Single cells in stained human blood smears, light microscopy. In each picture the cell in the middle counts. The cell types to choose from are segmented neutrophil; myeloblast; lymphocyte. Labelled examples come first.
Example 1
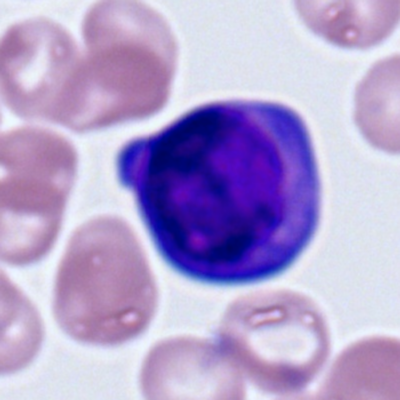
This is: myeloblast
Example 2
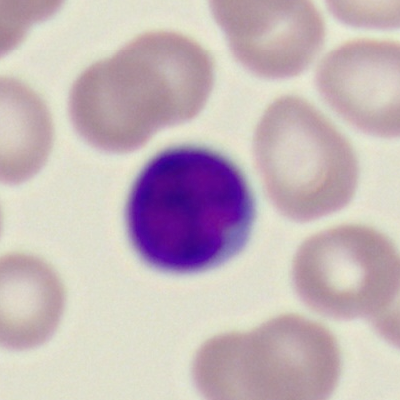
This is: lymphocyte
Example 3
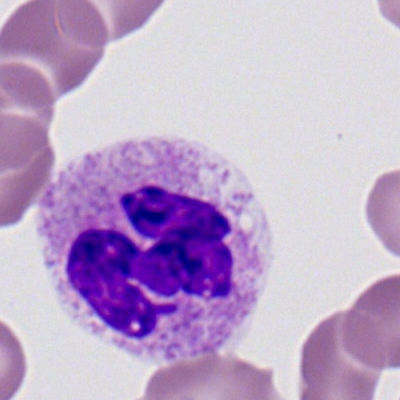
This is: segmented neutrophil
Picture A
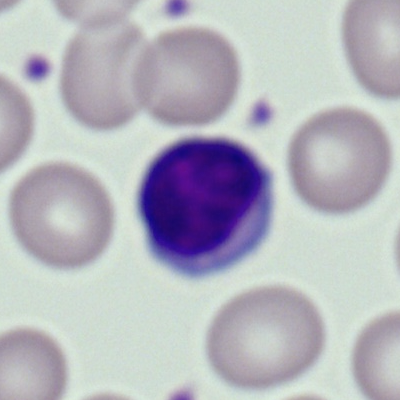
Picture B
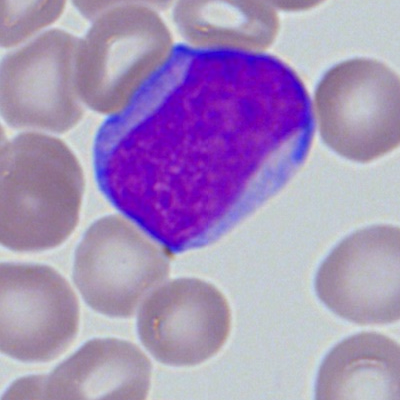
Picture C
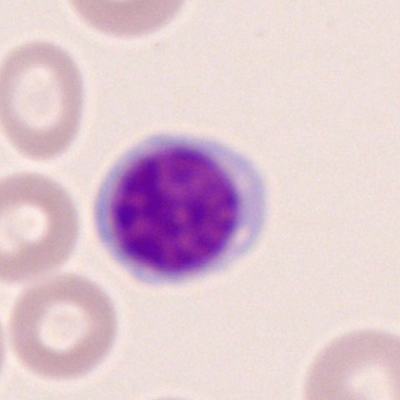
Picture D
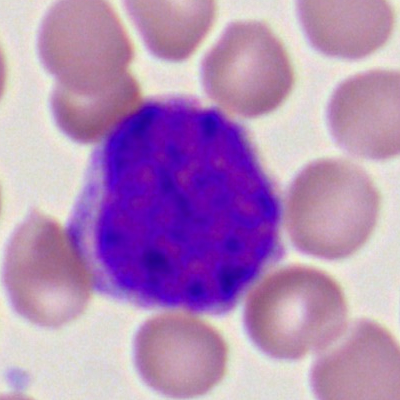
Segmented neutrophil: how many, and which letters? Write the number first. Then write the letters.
0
